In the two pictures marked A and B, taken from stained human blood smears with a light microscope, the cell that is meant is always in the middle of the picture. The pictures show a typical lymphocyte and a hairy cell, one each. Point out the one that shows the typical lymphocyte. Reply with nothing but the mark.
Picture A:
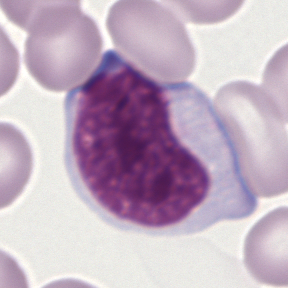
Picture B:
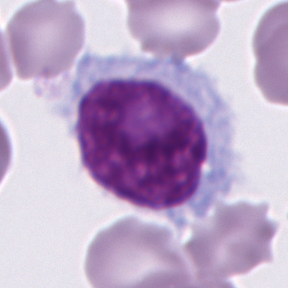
A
